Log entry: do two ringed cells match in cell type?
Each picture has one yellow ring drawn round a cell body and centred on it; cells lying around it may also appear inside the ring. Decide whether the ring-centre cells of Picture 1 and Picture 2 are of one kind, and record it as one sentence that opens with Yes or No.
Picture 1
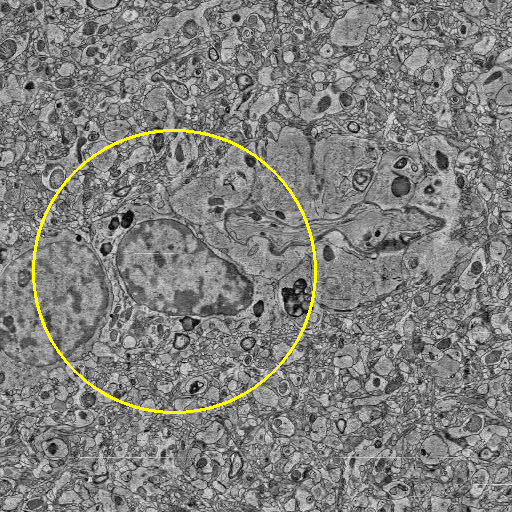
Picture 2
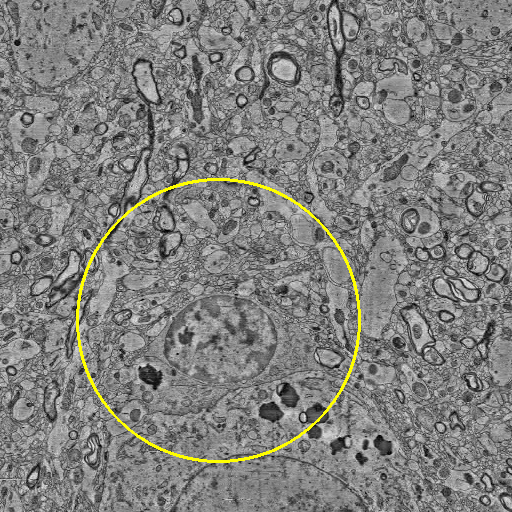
No, the cells at the ring centres of the two pictures belong to two kinds.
